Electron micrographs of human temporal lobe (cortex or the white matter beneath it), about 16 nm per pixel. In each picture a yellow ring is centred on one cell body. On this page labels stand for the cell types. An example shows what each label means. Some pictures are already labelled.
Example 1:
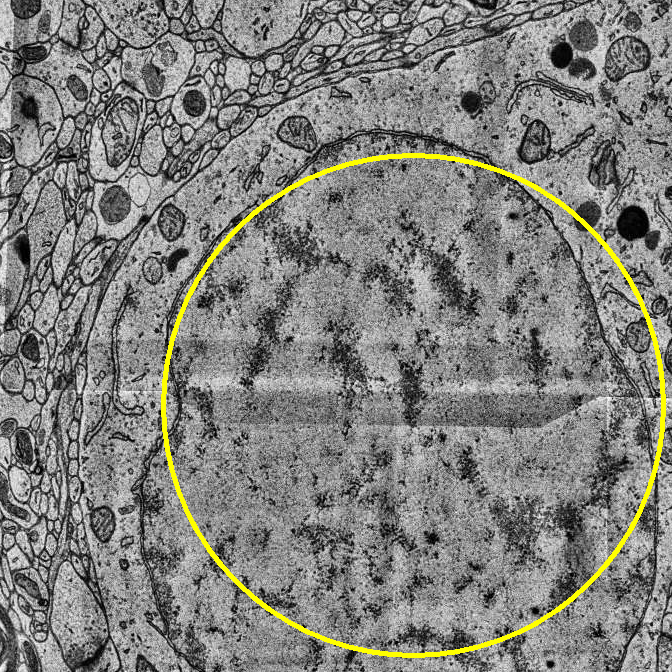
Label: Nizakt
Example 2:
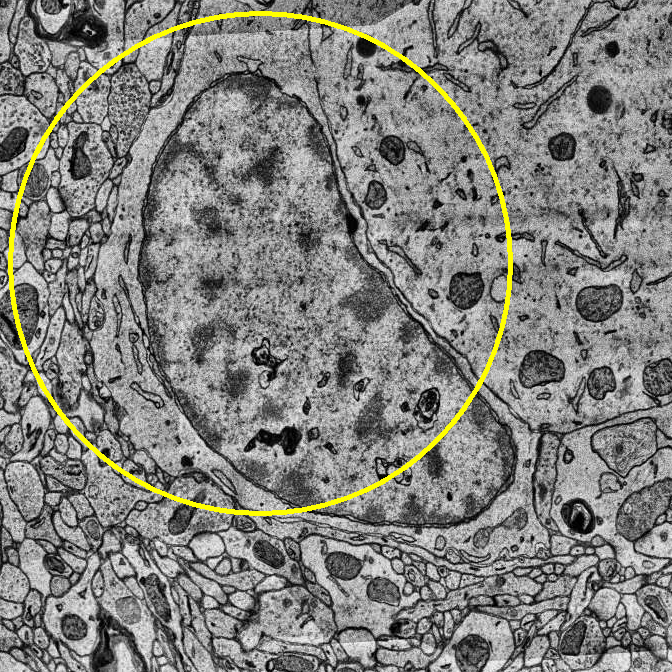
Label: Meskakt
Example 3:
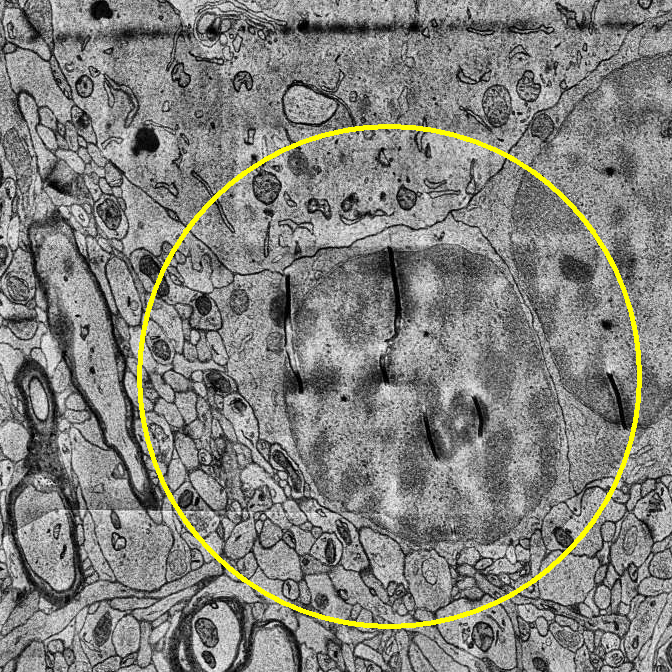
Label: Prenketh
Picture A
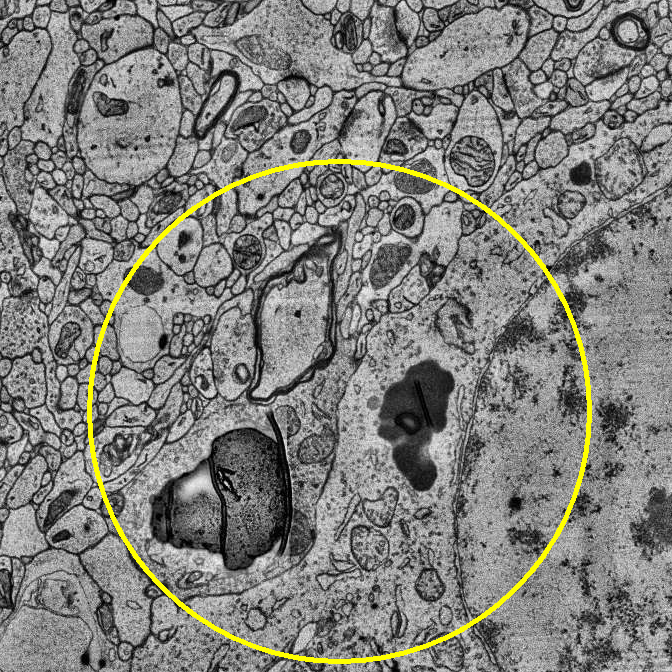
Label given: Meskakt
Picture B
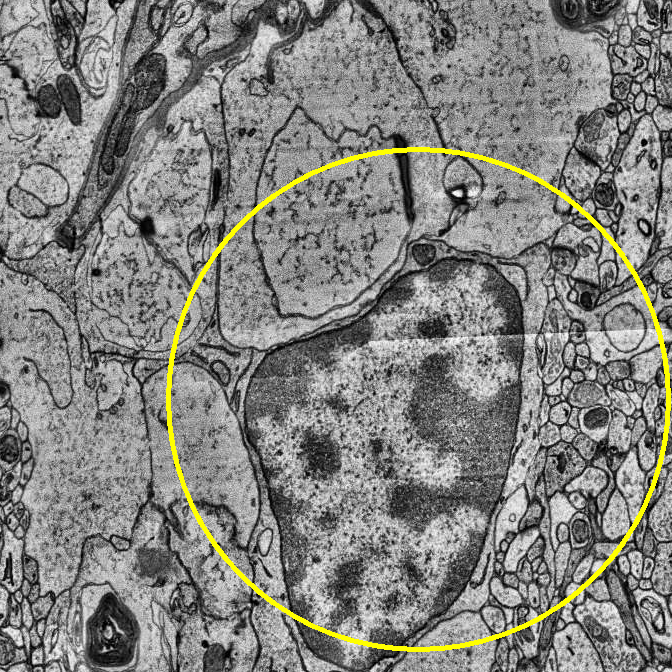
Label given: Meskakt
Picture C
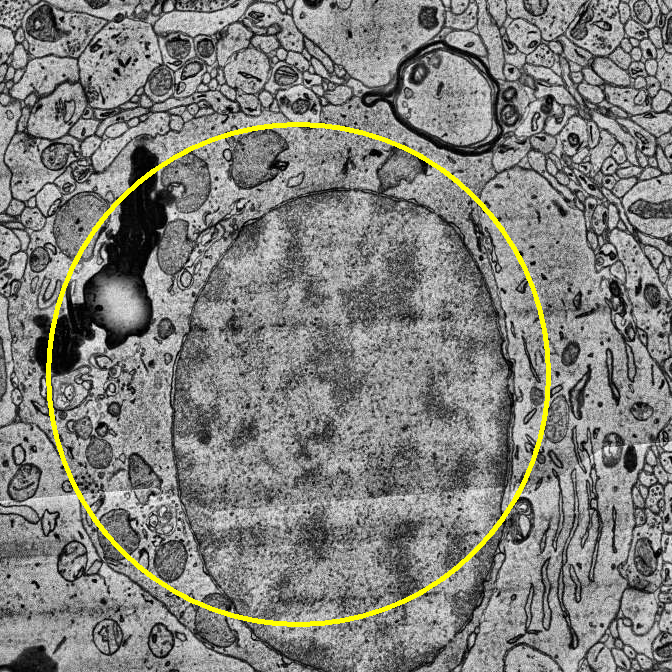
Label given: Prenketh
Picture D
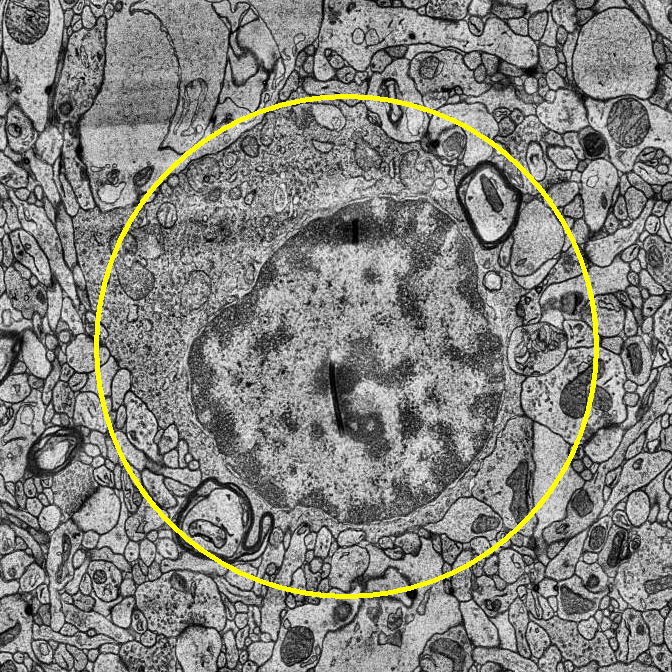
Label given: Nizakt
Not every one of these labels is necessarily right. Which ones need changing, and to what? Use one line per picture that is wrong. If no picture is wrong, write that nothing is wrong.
A: not Meskakt but Prenketh
D: not Nizakt but Prenketh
